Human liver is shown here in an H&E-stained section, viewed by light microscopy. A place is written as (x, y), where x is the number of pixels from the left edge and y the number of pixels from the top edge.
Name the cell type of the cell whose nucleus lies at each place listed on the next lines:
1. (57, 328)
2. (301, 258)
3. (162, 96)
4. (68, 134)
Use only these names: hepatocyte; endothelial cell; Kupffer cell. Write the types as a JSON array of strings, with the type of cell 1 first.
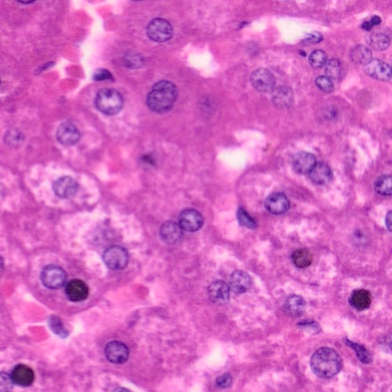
["endothelial cell", "hepatocyte", "hepatocyte", "hepatocyte"]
